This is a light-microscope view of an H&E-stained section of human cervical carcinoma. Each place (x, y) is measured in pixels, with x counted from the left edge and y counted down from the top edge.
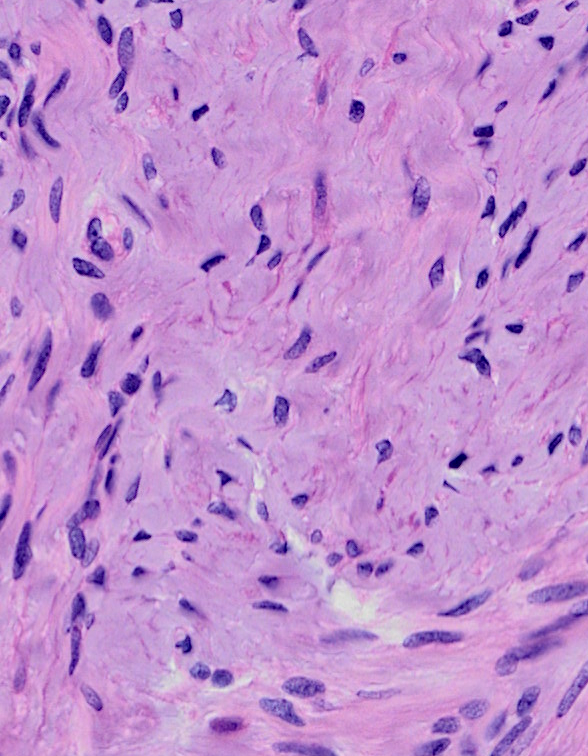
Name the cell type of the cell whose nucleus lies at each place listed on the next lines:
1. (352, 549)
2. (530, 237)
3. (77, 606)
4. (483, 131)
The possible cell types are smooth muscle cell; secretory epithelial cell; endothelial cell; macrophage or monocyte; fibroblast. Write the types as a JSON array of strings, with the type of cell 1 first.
["smooth muscle cell", "fibroblast", "fibroblast", "fibroblast"]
